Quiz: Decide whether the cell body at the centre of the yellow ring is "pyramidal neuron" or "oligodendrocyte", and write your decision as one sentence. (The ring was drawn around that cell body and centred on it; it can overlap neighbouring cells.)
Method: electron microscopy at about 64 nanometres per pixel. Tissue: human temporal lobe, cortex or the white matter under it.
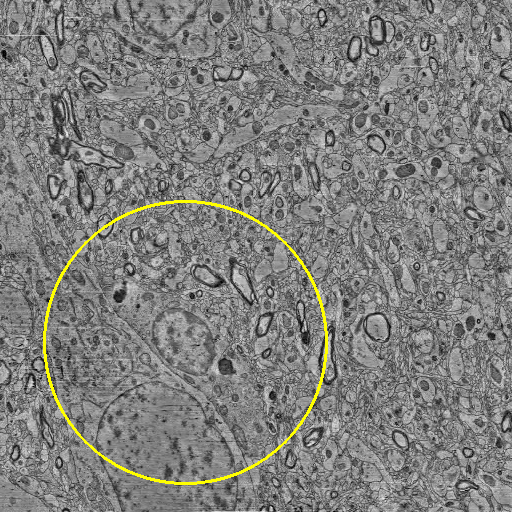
The cell the ring is centred on is an oligodendrocyte.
